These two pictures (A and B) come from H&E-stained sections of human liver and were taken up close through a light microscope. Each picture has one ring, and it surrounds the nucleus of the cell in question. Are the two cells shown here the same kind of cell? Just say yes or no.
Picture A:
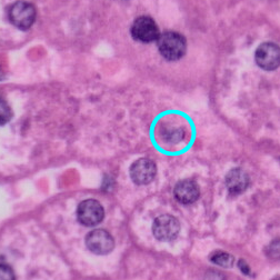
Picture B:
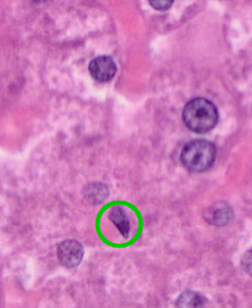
yes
